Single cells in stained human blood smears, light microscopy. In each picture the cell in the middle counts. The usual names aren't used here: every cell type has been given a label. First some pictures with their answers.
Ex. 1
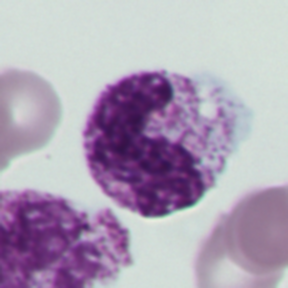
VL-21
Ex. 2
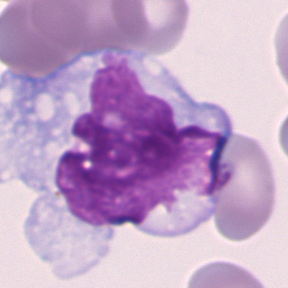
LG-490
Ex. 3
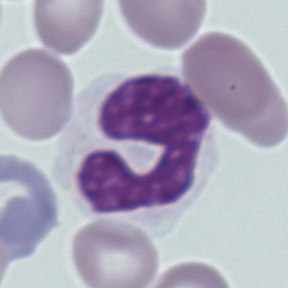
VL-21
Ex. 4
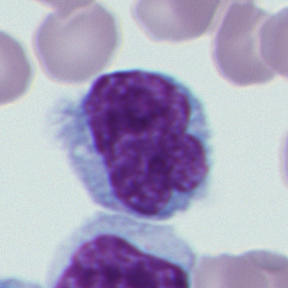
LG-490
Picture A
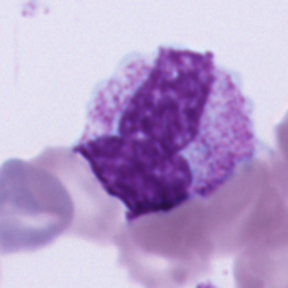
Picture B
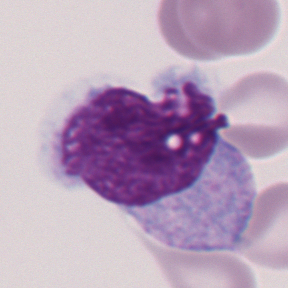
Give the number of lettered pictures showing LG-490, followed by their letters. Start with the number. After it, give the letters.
1, namely B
